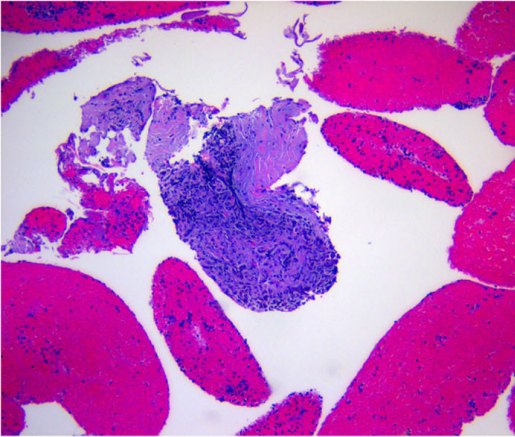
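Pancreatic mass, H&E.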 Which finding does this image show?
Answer: Fibrosis and chronic inflammation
